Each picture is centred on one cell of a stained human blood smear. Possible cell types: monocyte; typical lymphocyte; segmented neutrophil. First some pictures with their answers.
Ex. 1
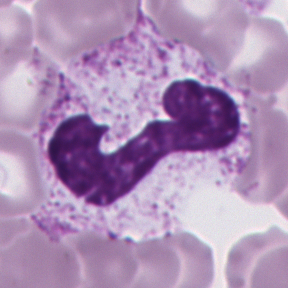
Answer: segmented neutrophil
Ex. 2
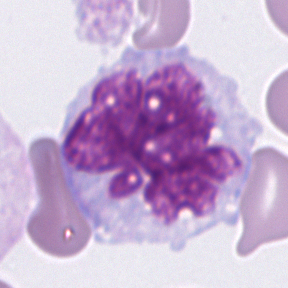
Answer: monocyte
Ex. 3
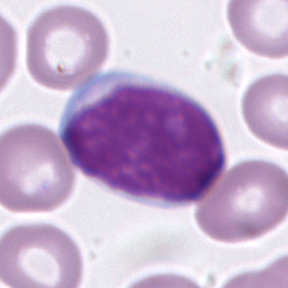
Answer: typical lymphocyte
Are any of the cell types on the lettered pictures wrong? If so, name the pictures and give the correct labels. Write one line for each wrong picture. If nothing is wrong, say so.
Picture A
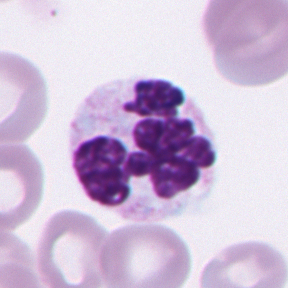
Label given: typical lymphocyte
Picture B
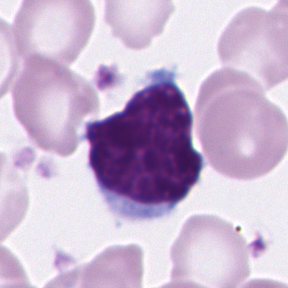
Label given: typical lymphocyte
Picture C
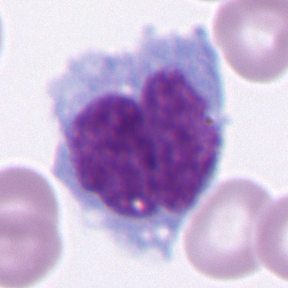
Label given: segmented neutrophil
A: not typical lymphocyte but segmented neutrophil
C: not segmented neutrophil but monocyte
